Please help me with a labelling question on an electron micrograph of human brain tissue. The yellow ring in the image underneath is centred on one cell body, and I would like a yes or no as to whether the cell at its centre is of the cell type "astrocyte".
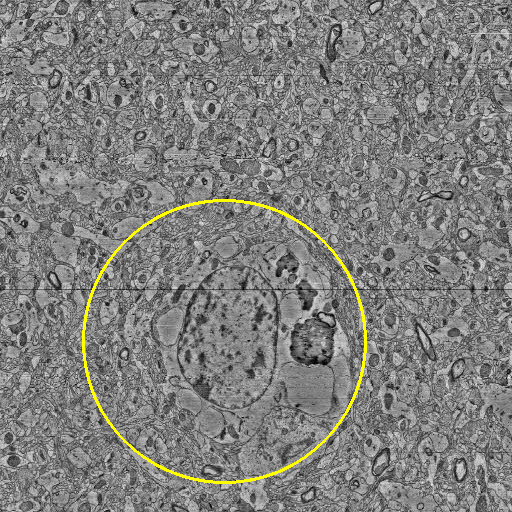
yes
